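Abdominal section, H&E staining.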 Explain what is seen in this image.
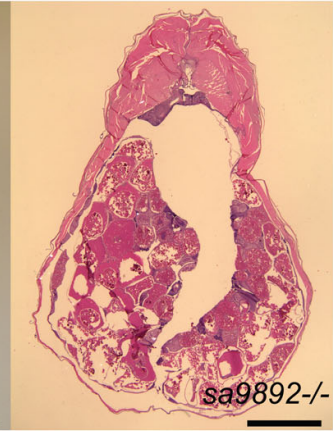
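A transverse section through the abdomen shows a pink-stained muscle mass at the top and a thin body wall enclosing a large body cavity. Both sides of the cavity are packed with many rounded oocytes of various sizes, most with pink cytoplasm and some with purple-staining areas, leaving an empty space in the middle.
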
